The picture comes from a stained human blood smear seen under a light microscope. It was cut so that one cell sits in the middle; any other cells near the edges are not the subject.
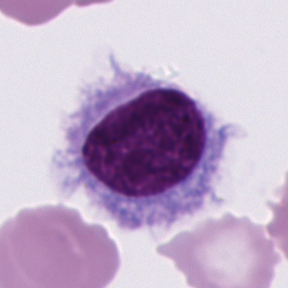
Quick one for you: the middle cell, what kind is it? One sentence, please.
In the center of this field lies a hairy cell.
